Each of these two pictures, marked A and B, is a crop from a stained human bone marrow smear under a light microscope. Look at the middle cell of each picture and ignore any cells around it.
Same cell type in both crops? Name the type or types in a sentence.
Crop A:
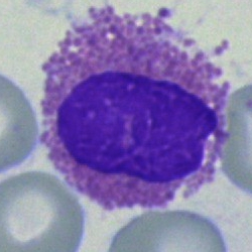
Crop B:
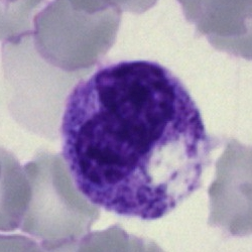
No, the central cell of crop A is an eosinophil; that of crop B is a metamyelocyte.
